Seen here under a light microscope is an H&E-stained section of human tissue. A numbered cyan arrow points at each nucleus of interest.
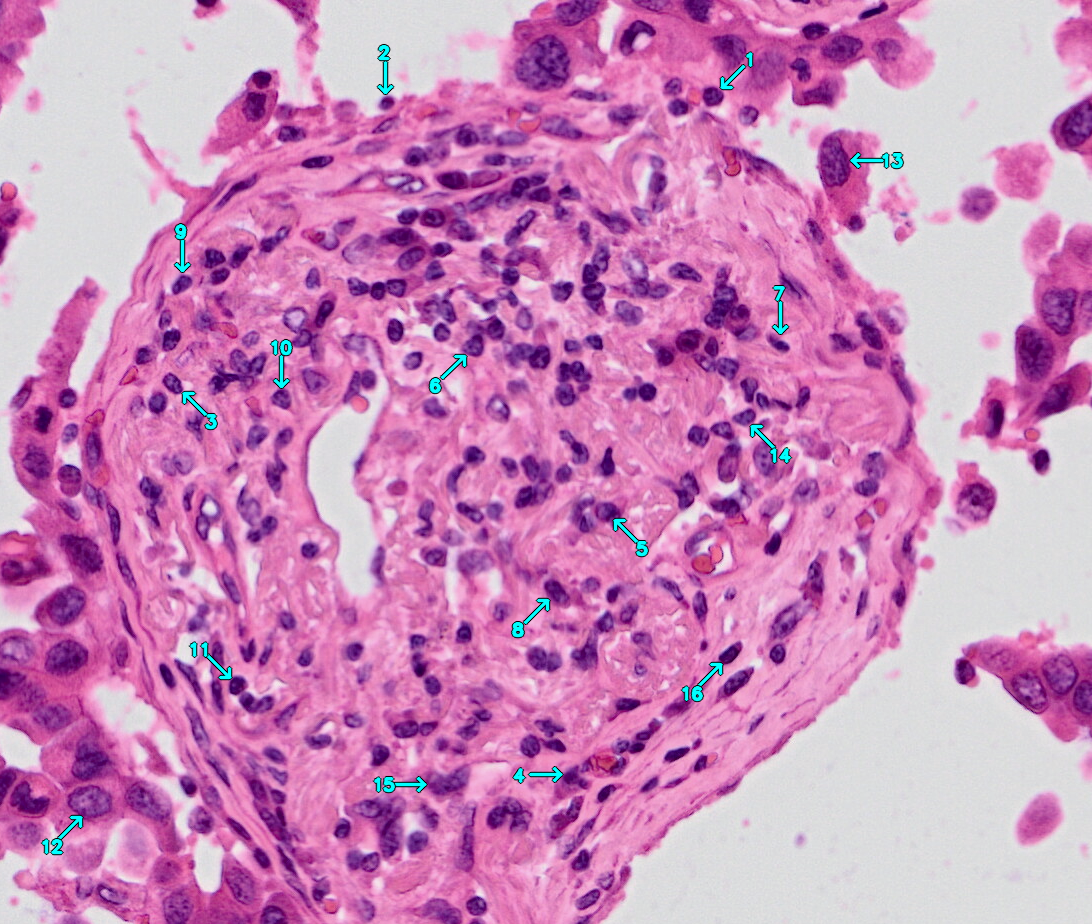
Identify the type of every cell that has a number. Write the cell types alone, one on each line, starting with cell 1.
lymphocyte
lymphocyte
lymphocyte
plasma cell
plasma cell
lymphocyte
lymphocyte
plasma cell
lymphocyte
lymphocyte
lymphocyte
carcinoma cell
carcinoma cell
lymphocyte
plasma cell
plasma cell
